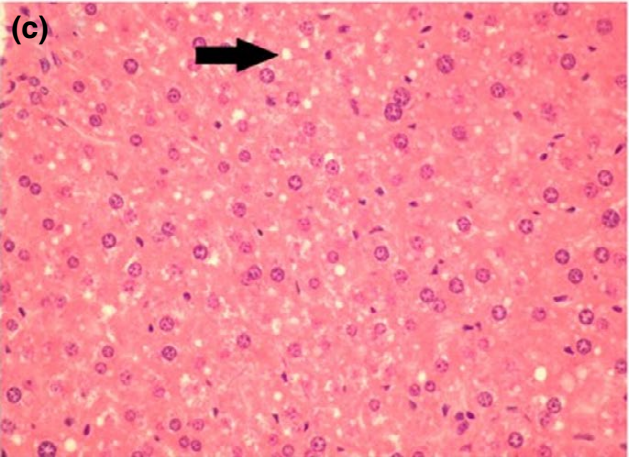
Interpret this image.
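This is liver, with plates of large polygonal hepatocytes whose pink cytoplasm is dotted with many small, round, colourless vacuoles of varying size. Each hepatocyte has a round, centrally placed nucleus with a clear nuclear outline and small dark nucleoli, and a few cells appear to carry two nuclei. Between the cell plates run narrow sinusoidal spaces lined by small, flattened, dark nuclei. The clear droplets are scattered through the whole field rather than confined to one area.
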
